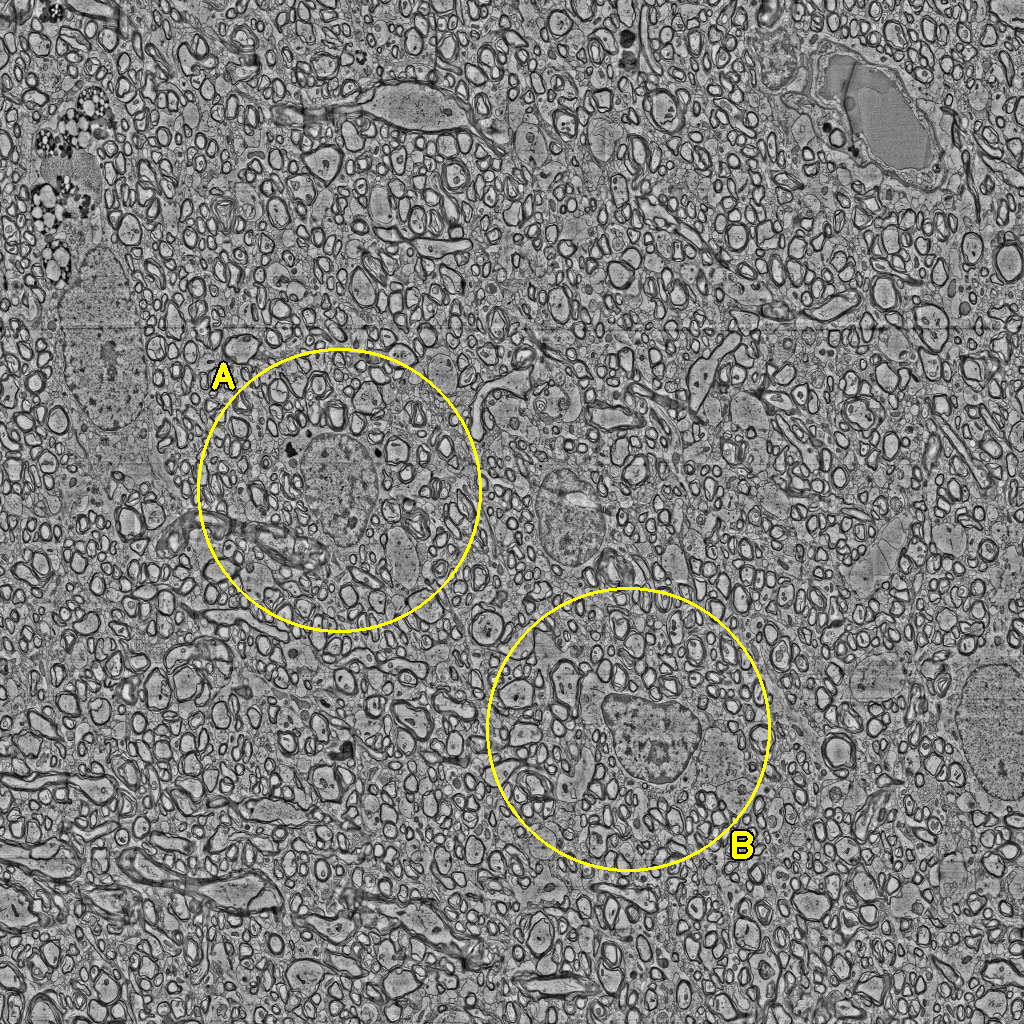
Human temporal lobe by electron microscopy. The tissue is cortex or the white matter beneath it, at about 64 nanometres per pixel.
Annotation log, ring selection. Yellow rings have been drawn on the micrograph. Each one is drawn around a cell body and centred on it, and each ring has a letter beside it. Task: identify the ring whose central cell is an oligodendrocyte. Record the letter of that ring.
A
